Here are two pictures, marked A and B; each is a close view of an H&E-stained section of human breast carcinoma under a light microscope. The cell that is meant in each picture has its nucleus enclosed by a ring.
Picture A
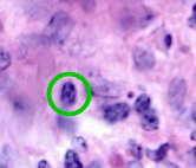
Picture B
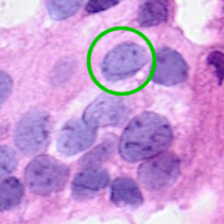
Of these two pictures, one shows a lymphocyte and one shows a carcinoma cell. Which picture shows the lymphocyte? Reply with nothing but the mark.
A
